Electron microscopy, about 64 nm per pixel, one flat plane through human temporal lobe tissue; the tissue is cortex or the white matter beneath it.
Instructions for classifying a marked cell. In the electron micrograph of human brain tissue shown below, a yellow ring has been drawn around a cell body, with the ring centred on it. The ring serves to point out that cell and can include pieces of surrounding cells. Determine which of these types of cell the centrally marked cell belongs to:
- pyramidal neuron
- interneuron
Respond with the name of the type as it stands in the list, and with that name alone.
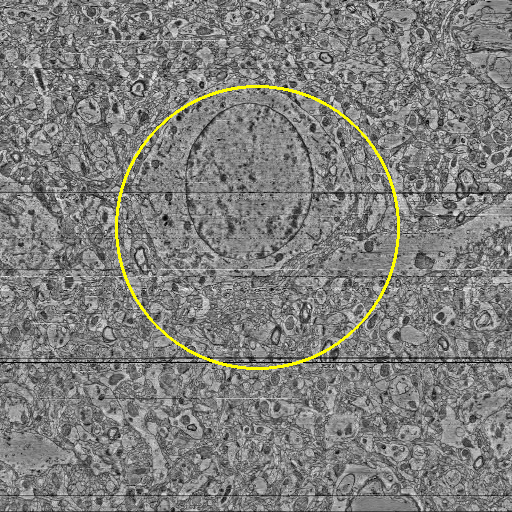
pyramidal neuron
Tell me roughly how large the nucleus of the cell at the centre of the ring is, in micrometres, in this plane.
The nucleus has a long axis of about 10 micrometres and a short axis of about 8 micrometres in this plane.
